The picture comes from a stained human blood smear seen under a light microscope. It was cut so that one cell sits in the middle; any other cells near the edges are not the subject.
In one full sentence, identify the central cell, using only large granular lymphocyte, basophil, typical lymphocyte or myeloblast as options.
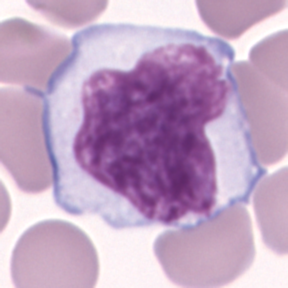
The target cell in the middle of the crop is a myeloblast.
